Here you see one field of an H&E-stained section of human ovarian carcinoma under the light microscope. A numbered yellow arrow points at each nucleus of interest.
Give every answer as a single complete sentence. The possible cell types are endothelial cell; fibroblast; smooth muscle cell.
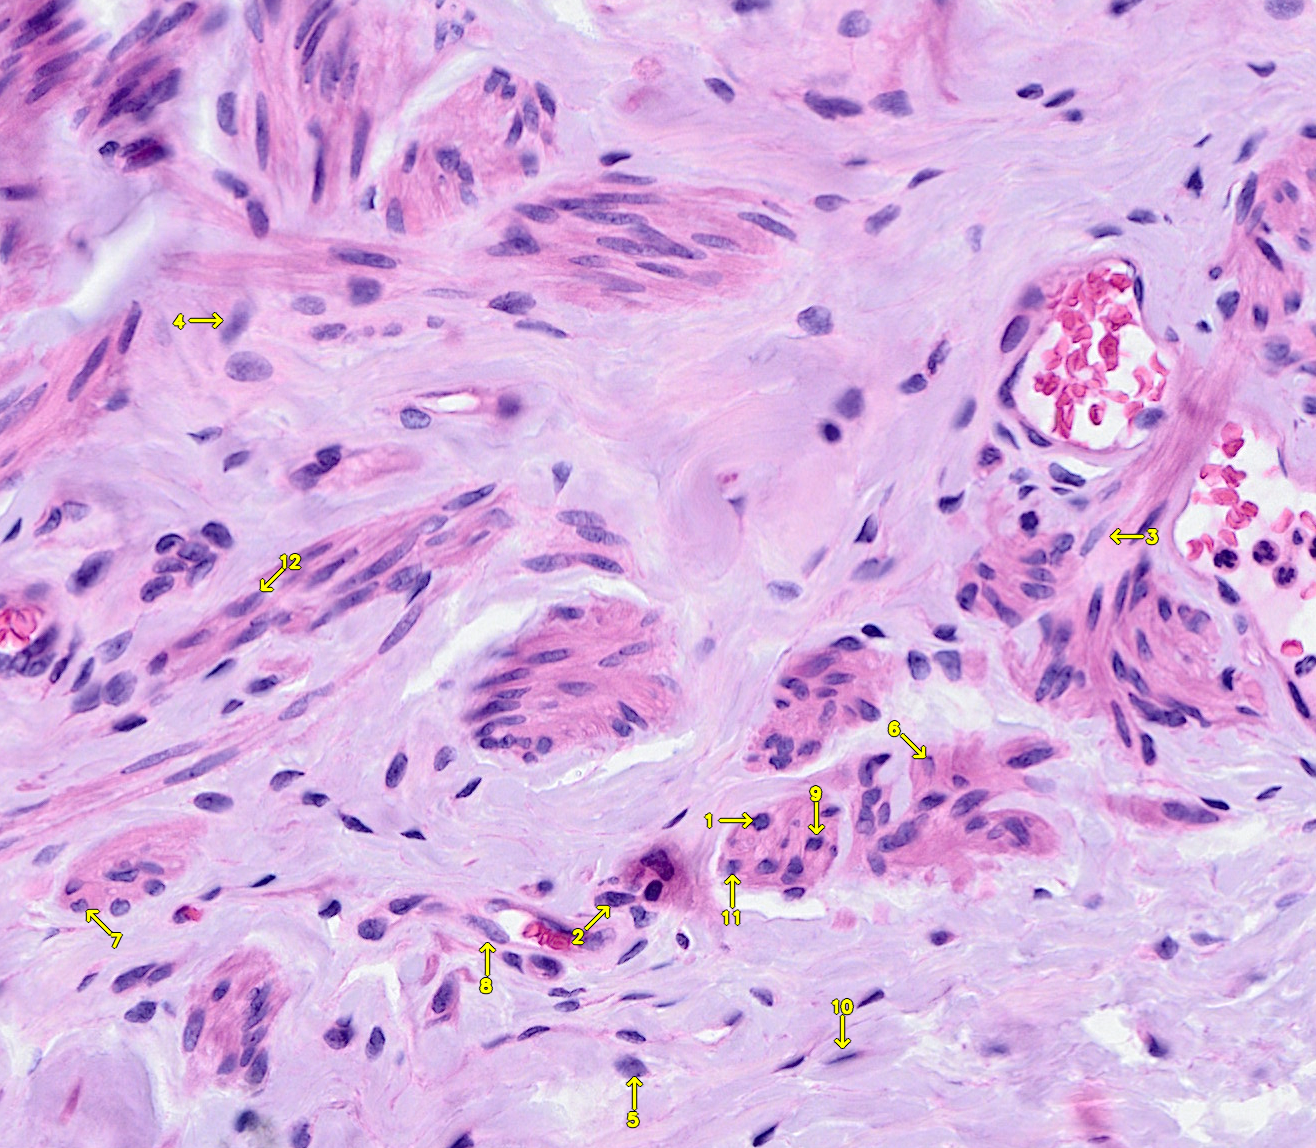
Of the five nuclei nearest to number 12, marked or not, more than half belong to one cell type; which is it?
Smooth muscle cells account for more than half of the five nuclei nearest to number 12.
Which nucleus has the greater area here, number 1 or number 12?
Number 12 is larger; its area is about 2 times that of number 1.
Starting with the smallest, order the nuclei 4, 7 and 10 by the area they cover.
The order from the smallest nucleus to the largest is 7, 10, 4.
